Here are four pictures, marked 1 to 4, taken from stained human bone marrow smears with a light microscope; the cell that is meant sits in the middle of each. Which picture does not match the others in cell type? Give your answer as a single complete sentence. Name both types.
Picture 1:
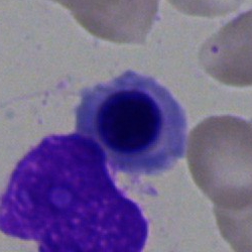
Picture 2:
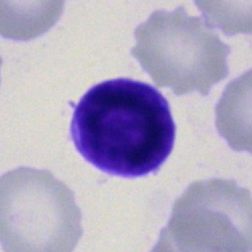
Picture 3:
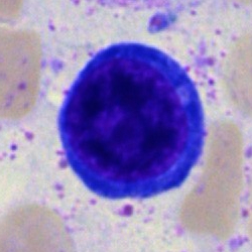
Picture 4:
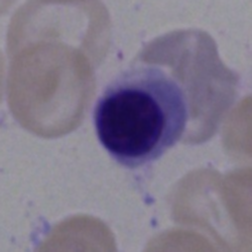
Unlike the rest, which show erythroblasts, picture 2 shows a lymphocyte.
